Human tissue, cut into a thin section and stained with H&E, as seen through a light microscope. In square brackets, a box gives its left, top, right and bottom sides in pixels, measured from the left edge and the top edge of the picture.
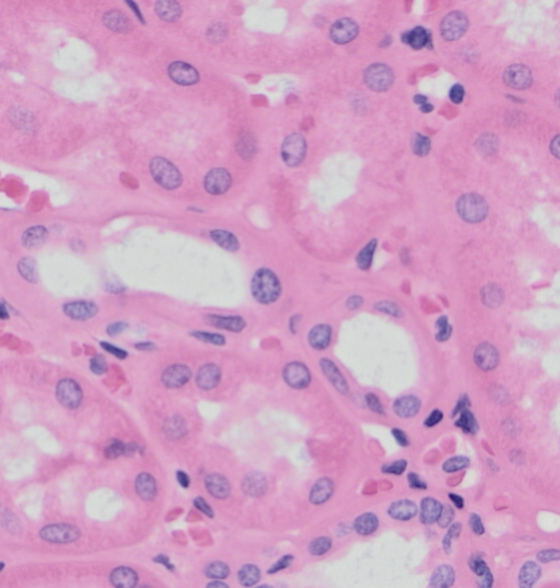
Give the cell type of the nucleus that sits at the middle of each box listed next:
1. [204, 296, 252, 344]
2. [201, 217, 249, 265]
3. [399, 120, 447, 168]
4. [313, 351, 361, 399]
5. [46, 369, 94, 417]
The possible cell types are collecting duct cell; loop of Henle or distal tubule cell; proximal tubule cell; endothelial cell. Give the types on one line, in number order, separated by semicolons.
collecting duct cell; collecting duct cell; endothelial cell; collecting duct cell; proximal tubule cell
